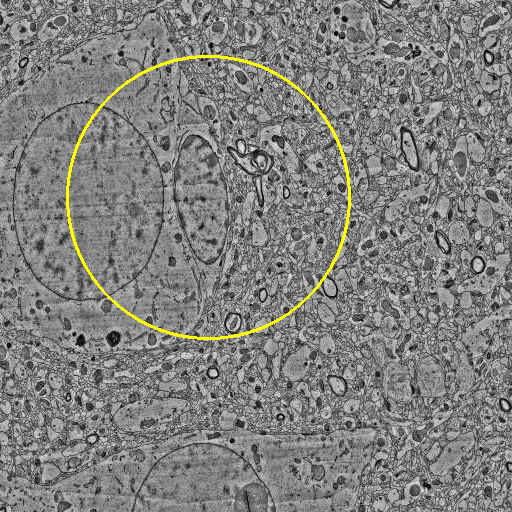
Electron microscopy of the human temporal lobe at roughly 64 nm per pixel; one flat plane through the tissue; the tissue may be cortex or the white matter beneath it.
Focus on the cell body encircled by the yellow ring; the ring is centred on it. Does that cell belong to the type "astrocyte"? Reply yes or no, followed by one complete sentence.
No, the cell lying at the centre of the ring in the picture is another type.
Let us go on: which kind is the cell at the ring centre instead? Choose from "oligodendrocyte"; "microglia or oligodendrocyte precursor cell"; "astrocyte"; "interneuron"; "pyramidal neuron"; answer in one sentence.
It is a microglial cell or oligodendrocyte precursor cell that the ring is centred on.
